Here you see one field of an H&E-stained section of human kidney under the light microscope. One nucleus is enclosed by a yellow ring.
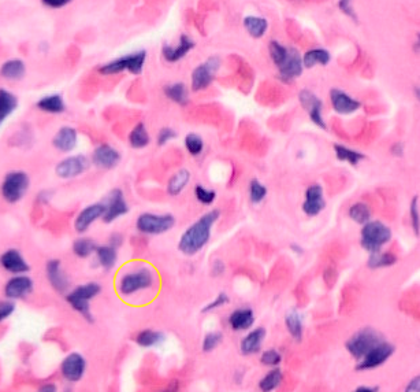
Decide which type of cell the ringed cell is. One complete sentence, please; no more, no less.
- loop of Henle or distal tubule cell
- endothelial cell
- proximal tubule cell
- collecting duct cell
For cell typing purposes, the ringed cell is an endothelial cell.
